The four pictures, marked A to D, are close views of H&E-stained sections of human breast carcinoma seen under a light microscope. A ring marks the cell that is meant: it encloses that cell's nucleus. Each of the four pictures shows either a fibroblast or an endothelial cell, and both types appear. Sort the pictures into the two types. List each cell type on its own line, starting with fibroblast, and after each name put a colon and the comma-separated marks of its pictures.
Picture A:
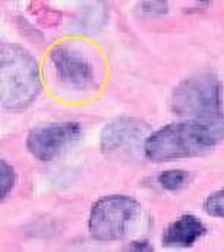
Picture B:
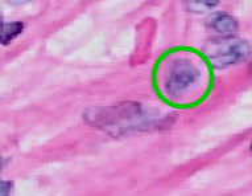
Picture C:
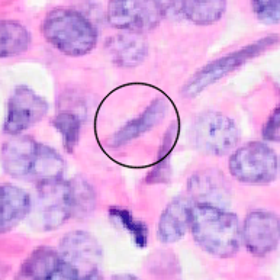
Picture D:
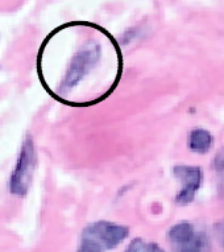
fibroblast: D
endothelial cell: A, B, C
